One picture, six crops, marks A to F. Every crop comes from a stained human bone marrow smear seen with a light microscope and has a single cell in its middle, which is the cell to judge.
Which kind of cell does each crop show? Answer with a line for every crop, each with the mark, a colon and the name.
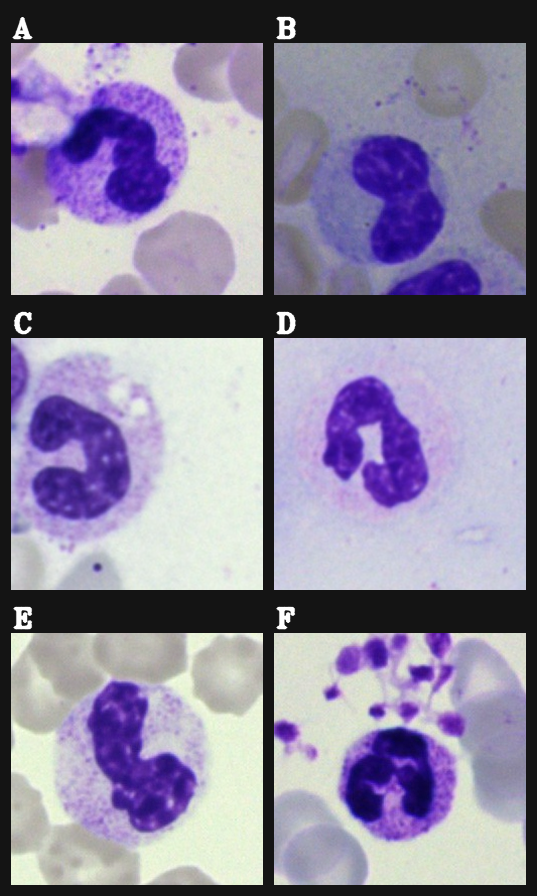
A: segmented neutrophil
B: band neutrophil
C: band neutrophil
D: segmented neutrophil
E: segmented neutrophil
F: segmented neutrophil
